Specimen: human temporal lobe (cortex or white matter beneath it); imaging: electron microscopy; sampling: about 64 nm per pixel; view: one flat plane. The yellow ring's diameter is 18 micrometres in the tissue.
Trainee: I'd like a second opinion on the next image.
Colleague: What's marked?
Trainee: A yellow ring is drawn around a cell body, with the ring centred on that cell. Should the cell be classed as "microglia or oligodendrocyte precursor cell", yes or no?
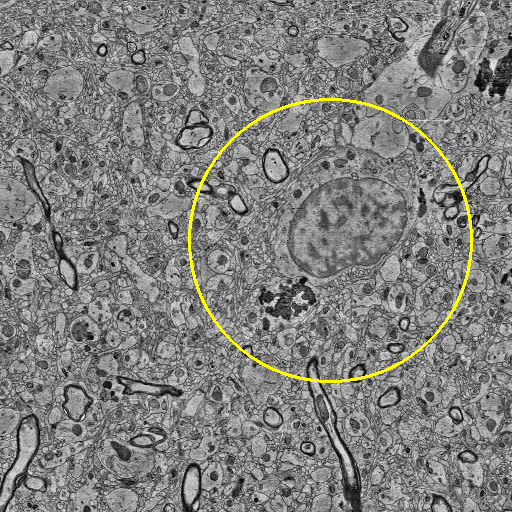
No, it should be classed as another kind.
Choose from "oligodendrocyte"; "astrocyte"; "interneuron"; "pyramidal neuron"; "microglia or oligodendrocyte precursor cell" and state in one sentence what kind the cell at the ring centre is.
It is an oligodendrocyte that the ring is centred on.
